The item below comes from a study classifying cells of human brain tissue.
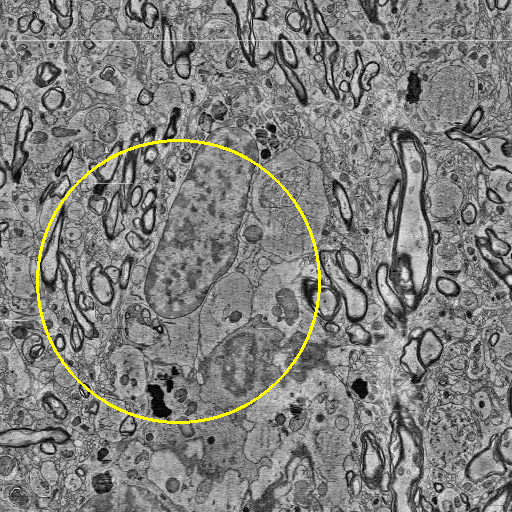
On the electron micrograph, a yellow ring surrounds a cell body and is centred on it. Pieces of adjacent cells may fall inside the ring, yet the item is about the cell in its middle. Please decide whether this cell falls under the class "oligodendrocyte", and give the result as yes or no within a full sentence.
No, the cell at the middle of the ring on the micrograph is of another kind.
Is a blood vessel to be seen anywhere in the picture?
Yes, one shows.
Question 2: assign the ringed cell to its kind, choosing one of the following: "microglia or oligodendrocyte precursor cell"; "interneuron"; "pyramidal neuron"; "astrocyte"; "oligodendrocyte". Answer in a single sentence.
The cell ringed in the picture is a microglial cell or oligodendrocyte precursor cell.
